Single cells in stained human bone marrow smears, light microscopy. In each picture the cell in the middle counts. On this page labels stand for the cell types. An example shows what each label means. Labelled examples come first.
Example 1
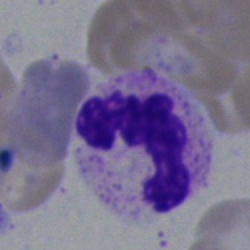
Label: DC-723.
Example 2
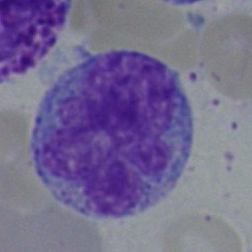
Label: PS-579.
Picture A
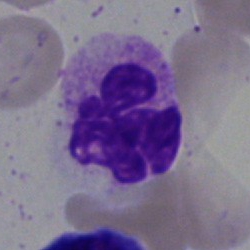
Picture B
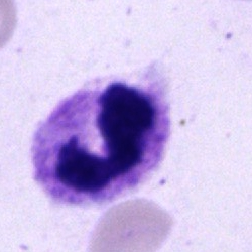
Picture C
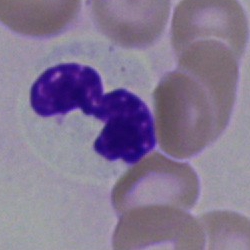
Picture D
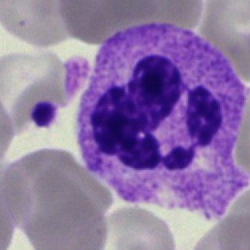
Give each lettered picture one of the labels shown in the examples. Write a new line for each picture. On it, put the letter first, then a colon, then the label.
A: DC-723.
B: DC-723.
C: DC-723.
D: DC-723.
